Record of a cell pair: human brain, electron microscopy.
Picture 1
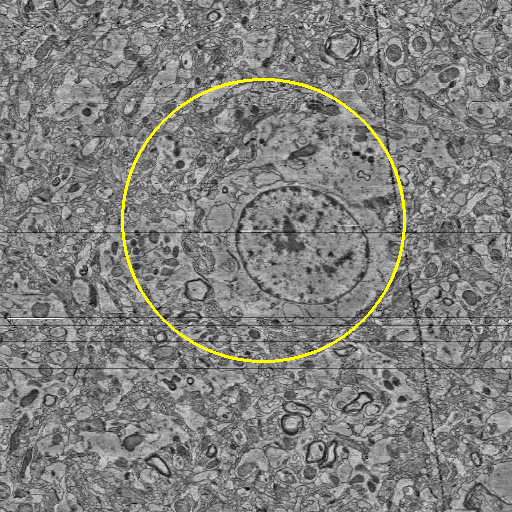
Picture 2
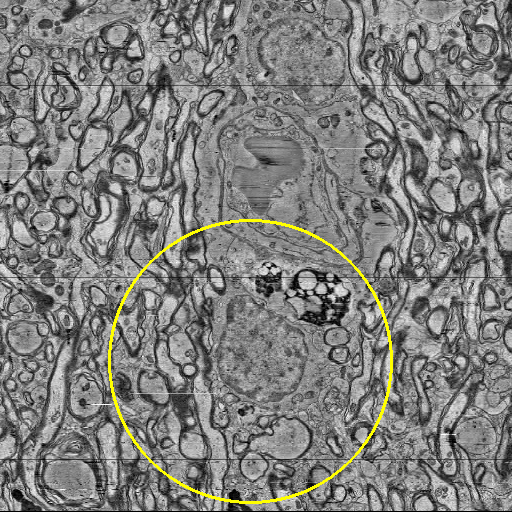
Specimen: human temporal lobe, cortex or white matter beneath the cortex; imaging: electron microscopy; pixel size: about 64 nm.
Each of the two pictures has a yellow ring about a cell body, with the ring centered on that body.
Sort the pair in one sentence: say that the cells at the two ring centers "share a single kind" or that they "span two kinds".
The cells centered in the rings of Pictures 1 and 2 span two kinds.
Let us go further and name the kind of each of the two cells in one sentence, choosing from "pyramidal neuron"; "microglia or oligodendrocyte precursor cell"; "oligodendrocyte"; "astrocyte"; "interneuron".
The ring of the first picture is on an astrocyte, the ring of the second on an oligodendrocyte.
